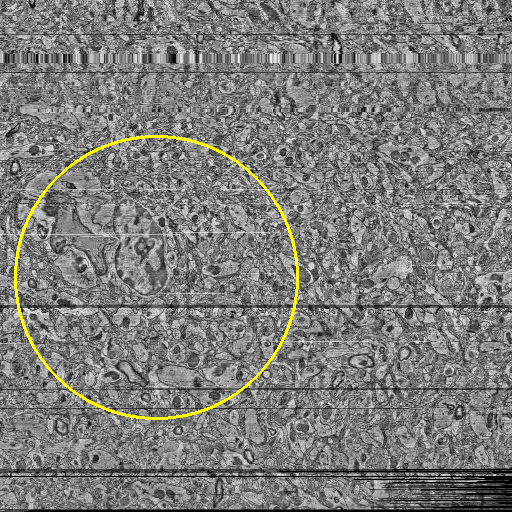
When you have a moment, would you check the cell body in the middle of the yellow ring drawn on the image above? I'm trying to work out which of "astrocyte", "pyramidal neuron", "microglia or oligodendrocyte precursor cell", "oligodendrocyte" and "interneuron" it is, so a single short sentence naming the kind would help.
This cell body belongs to a microglial cell or oligodendrocyte precursor cell.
